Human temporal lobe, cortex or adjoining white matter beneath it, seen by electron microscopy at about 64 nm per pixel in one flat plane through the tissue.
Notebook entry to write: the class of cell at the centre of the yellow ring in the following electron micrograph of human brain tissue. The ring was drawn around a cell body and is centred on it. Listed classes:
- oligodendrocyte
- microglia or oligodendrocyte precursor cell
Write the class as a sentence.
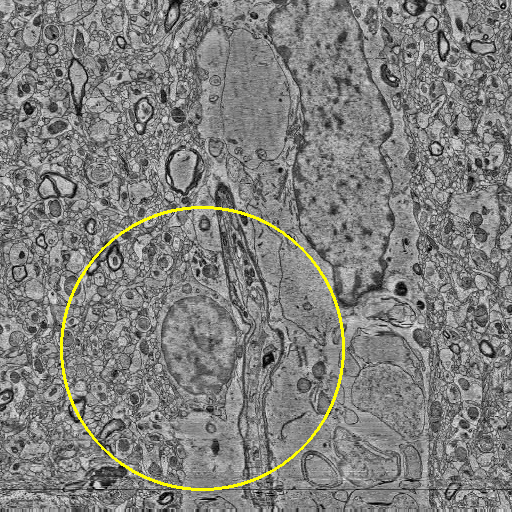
The yellow ring sits on an oligodendrocyte.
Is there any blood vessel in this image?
Yes, one shows.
